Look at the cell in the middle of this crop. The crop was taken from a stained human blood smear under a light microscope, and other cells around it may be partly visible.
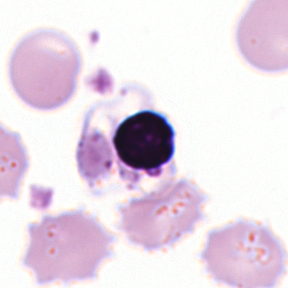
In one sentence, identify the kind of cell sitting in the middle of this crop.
The cell in the middle of the field of view is a normoblast.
